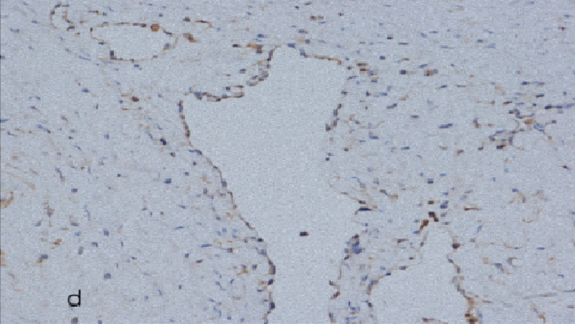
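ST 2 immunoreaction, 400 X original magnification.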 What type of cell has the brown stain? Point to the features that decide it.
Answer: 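A thin brown-stained cell layer lines an empty vascular lumen. Flattened nuclei sit along the lumen border. The answer: endothelial cells.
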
